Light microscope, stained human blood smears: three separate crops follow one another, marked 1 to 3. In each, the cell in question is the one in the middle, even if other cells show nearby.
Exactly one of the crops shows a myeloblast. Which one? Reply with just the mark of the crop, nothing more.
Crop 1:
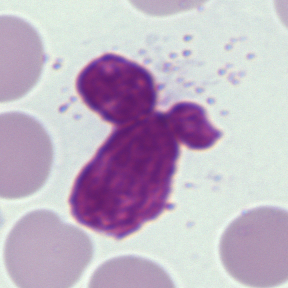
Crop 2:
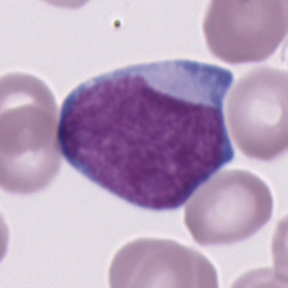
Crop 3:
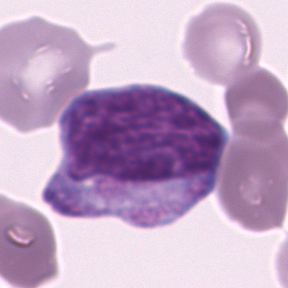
2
